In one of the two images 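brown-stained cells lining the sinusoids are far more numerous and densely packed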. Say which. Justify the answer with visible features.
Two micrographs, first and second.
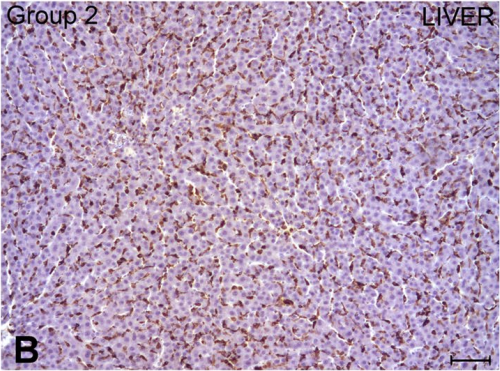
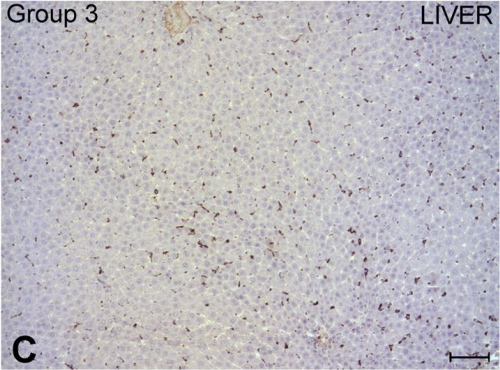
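Second image: only scattered small brown cells among pale hepatocytes. First image: dense brown staining outlines nearly every sinusoid across the field. The answer: the first image.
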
